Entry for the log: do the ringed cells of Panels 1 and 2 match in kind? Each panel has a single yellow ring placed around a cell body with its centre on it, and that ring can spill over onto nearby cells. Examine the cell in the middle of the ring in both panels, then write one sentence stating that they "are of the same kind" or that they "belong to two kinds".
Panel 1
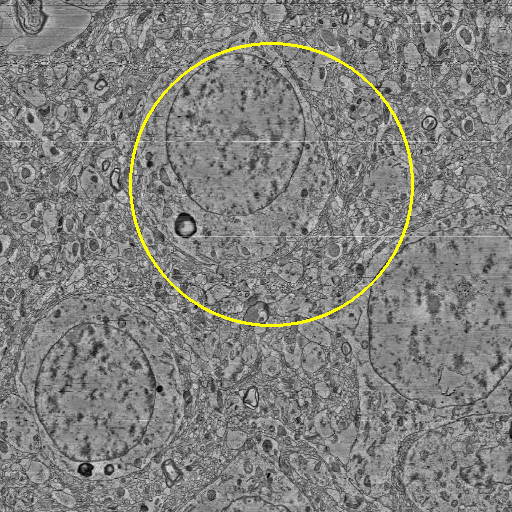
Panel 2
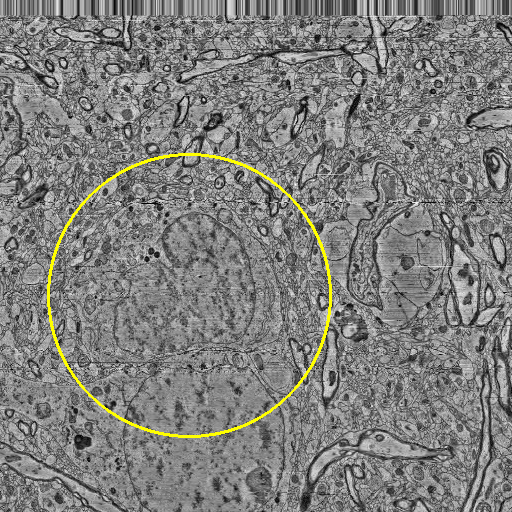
The centre cell of Panel 1's ring and that of Panel 2's ring belong to two kinds.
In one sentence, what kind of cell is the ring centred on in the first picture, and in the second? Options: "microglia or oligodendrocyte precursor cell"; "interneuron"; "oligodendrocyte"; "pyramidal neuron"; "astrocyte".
The cell at the centre of the second ring is an interneuron; the first ring's cell is a pyramidal neuron.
